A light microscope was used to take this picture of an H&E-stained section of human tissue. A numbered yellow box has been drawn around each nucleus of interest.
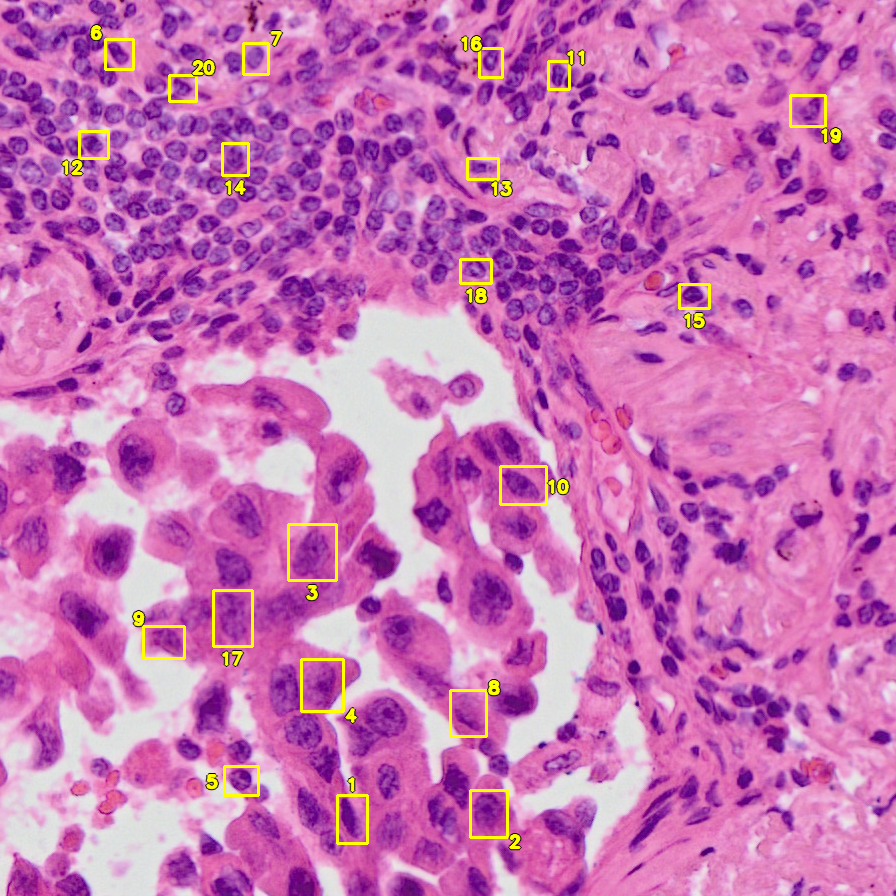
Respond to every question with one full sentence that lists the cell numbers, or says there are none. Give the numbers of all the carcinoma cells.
To be specific, the cells numbered 1, 2, 3, 4, 8, 9, 10 and 17 are carcinoma cells.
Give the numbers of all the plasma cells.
Across all the numbered cells, only number 19 is a plasma cell.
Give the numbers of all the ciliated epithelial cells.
No ciliated epithelial cells are present among the cells marked with numbers.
